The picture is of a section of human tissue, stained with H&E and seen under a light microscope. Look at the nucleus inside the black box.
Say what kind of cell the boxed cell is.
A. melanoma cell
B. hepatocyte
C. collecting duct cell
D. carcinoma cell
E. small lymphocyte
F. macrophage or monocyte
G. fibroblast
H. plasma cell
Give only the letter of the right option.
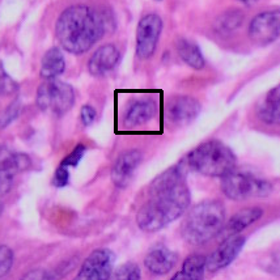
A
